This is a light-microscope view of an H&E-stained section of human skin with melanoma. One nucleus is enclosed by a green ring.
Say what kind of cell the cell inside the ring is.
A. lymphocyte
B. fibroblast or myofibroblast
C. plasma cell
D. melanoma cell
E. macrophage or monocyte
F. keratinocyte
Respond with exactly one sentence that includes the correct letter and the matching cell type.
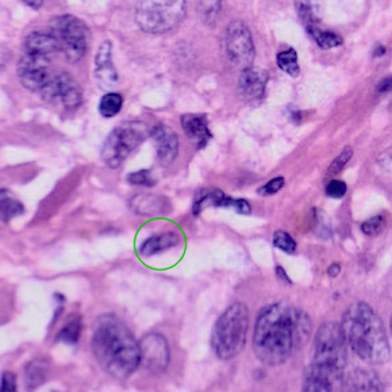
Looking at the options, pick E; the cell inside the ring is a macrophage or monocyte.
